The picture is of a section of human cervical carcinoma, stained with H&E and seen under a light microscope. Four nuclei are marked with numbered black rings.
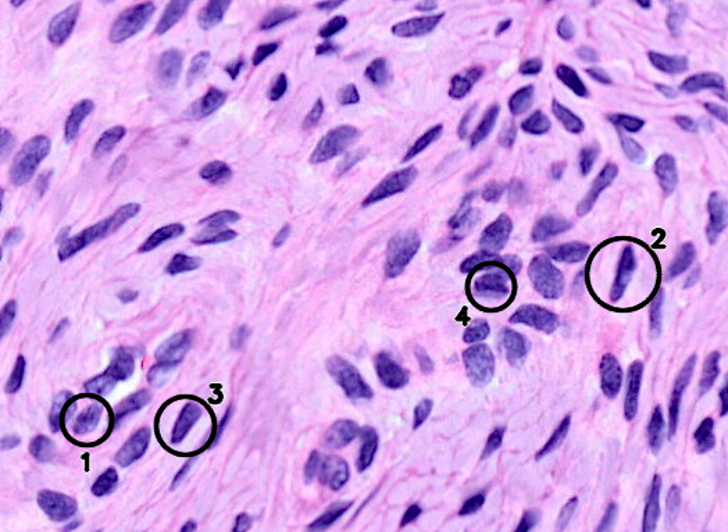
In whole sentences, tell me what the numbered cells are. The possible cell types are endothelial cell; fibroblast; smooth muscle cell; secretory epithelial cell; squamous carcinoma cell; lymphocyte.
Cell 1 is an endothelial cell. Cells 2, 3 and 4 are fibroblasts.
